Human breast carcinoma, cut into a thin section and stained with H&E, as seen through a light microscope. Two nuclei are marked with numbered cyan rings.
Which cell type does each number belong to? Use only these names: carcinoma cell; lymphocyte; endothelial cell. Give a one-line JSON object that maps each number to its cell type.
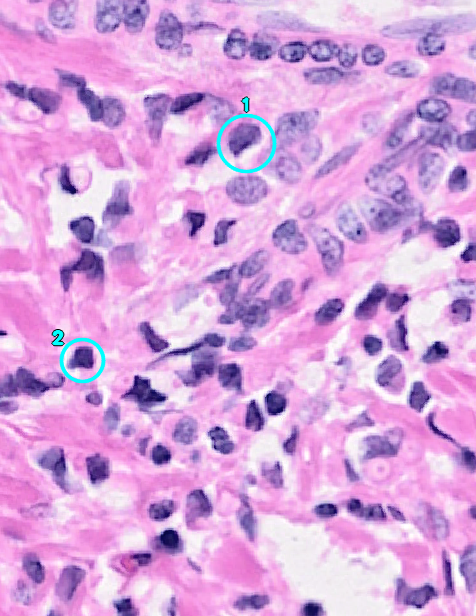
{"1": "carcinoma cell", "2": "lymphocyte"}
